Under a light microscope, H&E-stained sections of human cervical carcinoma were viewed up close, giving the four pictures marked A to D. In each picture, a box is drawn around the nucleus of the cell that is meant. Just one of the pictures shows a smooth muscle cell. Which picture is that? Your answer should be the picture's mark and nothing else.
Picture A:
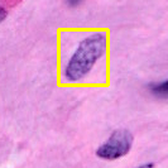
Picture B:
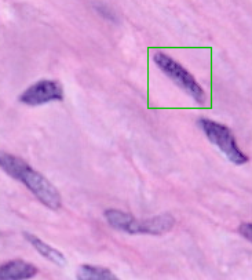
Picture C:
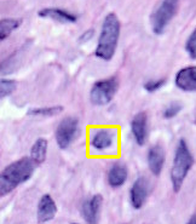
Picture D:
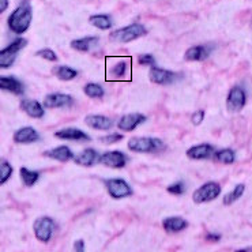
D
